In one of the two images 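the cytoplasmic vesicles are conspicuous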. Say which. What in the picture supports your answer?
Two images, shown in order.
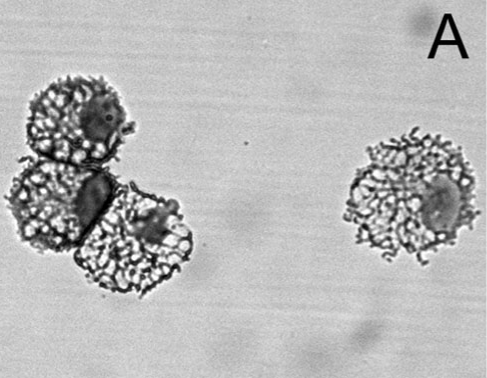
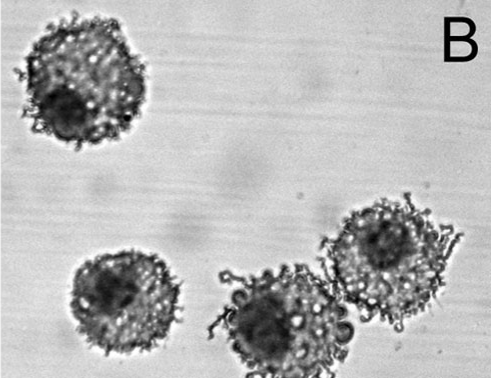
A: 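Second image: the cytoplasm is darker and denser, with fewer and less distinct clear vacuoles. First image: the cytoplasm is pale and crowded with many distinct clear round vacuoles.
Answer: the first image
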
